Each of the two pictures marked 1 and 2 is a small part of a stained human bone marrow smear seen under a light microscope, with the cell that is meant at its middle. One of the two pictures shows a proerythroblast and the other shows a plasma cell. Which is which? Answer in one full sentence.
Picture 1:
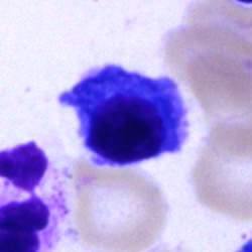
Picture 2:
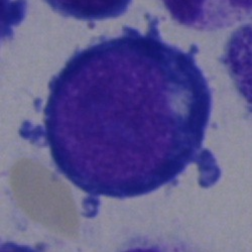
Picture 1 is of a plasma cell, and picture 2 is of a proerythroblast.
